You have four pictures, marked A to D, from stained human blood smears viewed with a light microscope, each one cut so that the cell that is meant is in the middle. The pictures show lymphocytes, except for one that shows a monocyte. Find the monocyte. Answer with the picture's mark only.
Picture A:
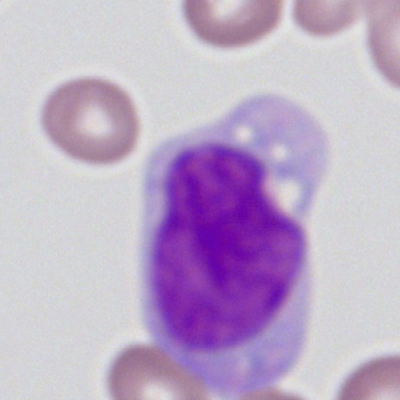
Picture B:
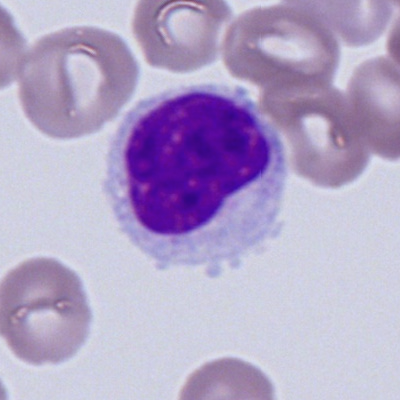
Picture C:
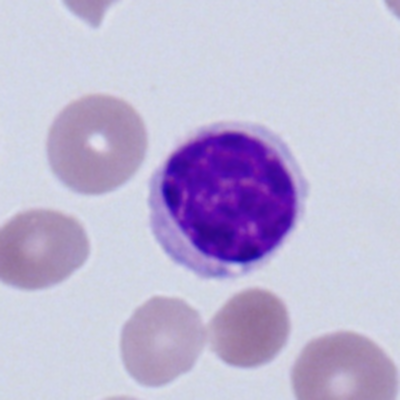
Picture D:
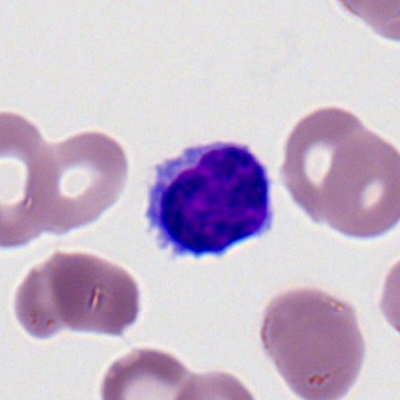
A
